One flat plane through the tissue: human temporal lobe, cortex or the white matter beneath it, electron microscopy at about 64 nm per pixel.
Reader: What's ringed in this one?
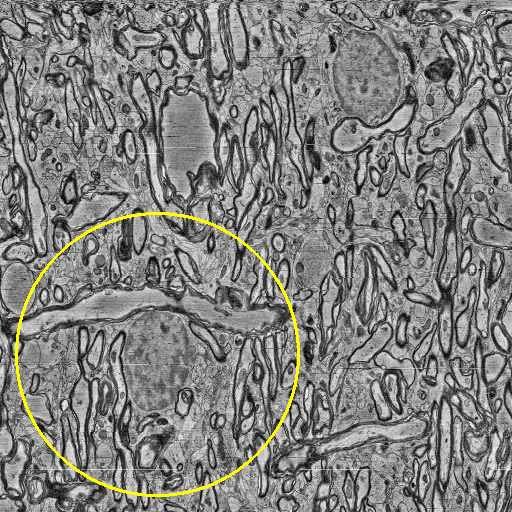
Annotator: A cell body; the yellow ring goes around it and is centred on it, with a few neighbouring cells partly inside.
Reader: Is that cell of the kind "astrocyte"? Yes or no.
no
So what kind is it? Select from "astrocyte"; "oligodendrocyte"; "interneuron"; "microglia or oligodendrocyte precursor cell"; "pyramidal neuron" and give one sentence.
The ringed cell in this picture is, instead, an oligodendrocyte.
